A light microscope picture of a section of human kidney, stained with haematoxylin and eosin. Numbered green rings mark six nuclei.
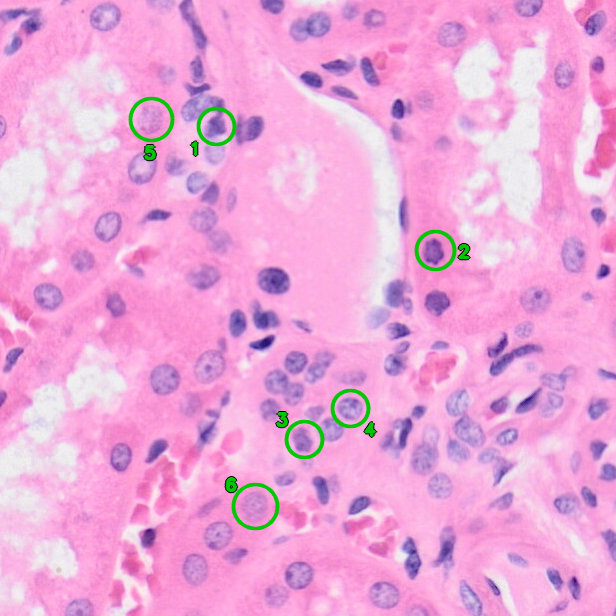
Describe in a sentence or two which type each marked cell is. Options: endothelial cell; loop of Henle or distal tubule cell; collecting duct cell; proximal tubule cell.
Cells 1, 3 and 4 are collecting duct cells. Cells 2, 5 and 6 are proximal tubule cells.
